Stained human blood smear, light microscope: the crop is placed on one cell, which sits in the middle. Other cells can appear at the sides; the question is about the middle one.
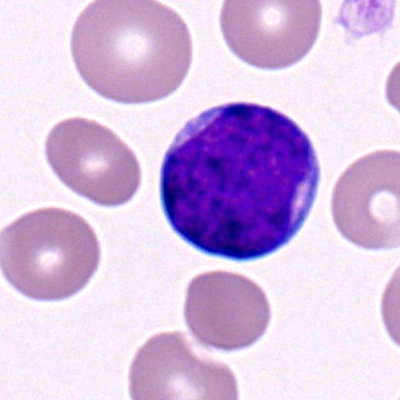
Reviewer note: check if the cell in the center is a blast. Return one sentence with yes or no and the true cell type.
Yes, the middle cell of the field is a blast.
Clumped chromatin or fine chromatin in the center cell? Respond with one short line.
Heads up, the chromatin in this one is coarsely clumped.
